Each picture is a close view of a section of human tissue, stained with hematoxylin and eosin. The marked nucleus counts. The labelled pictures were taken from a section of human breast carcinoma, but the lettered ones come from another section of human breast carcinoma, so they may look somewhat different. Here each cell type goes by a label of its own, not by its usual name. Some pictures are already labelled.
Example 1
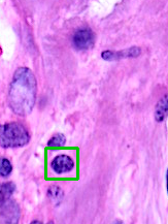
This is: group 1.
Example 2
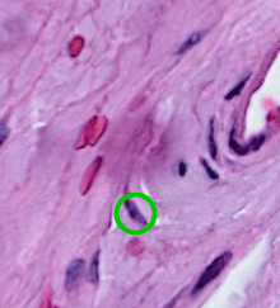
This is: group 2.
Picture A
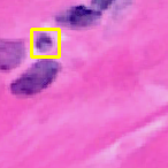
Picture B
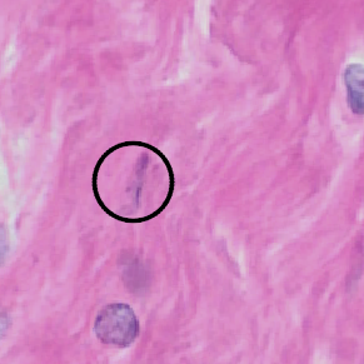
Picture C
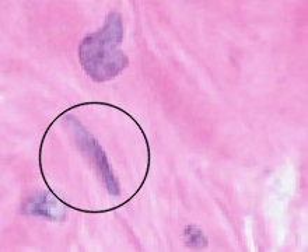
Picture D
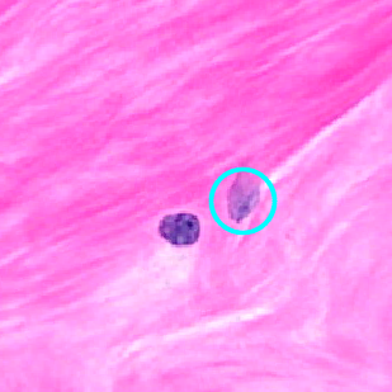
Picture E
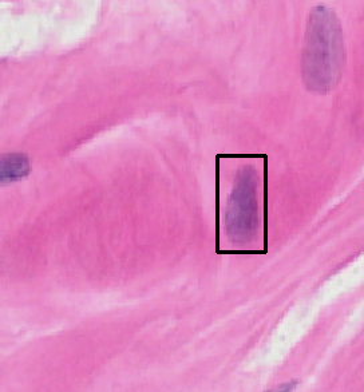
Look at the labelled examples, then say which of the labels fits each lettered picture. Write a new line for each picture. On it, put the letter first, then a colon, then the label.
A: group 1.
B: group 2.
C: group 2.
D: group 2.
E: group 2.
